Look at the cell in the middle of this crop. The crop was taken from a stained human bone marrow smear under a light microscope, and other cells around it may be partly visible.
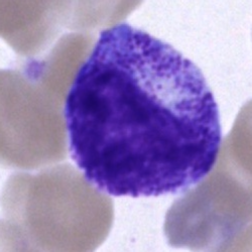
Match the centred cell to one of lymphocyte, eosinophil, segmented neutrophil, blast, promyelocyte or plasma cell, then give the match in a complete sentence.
Among the cells in view, the one in the middle is a promyelocyte.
